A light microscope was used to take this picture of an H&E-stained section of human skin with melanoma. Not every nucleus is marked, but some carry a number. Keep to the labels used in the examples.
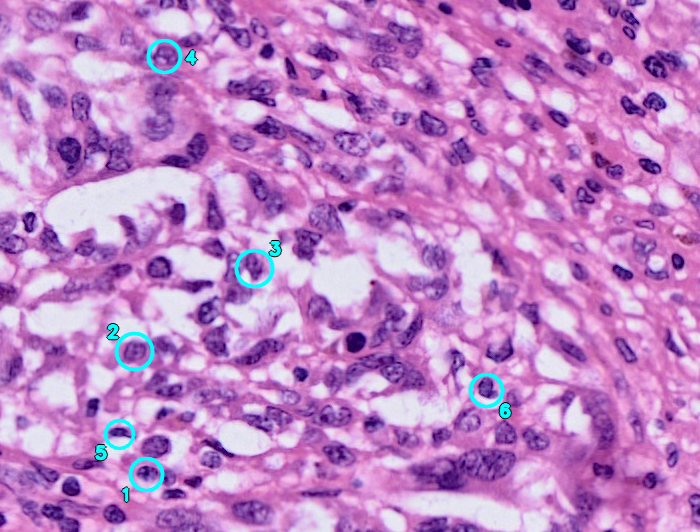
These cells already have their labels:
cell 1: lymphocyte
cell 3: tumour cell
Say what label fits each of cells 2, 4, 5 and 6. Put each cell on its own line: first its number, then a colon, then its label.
2: tumour cell
4: tumour cell
5: lymphocyte
6: lymphocyte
